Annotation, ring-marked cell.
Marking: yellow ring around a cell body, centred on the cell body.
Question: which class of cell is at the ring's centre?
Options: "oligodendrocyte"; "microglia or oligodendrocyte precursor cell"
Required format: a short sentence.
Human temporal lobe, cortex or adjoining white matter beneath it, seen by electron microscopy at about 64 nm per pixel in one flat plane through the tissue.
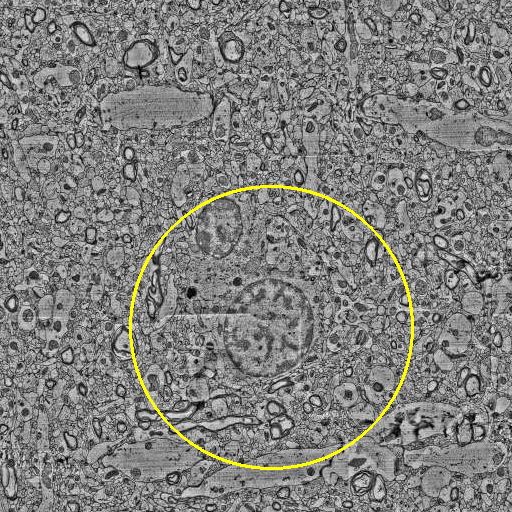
At the ring's centre is an oligodendrocyte.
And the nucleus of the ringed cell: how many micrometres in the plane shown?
The nucleus of the ringed cell is approximately 6 micrometres across in this plane.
